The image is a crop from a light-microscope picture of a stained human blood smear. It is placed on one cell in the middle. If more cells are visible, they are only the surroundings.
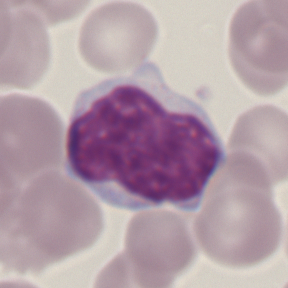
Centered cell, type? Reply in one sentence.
The centrally placed cell is classified as a large granular lymphocyte.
